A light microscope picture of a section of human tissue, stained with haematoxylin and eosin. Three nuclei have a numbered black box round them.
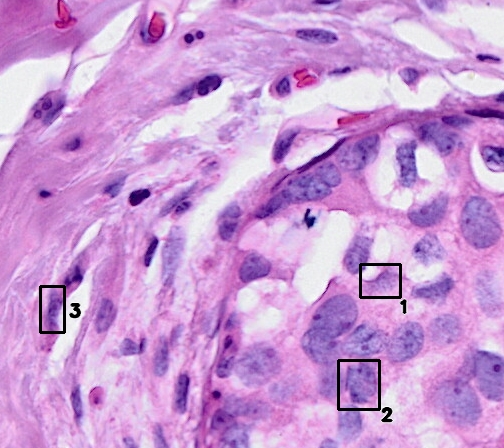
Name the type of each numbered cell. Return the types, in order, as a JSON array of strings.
["carcinoma cell", "carcinoma cell", "fibroblast"]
